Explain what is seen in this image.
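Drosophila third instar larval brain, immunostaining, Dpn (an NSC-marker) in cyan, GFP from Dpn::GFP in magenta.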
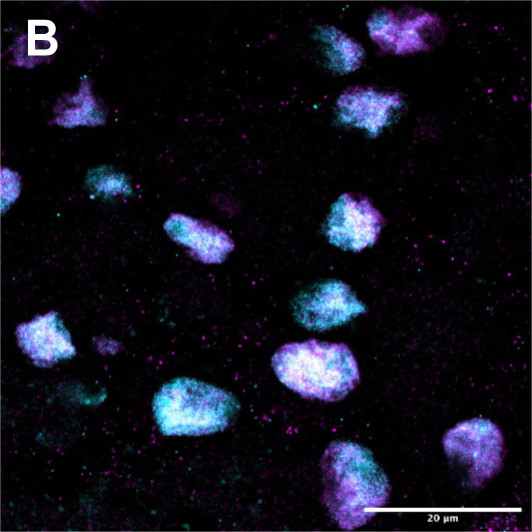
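Scattered across a dark field lie about a dozen rounded to irregularly oval nuclei, some larger and some smaller, spaced well apart from one another. Each carries both the cyan and the magenta colour, so most appear pale lavage to whitish where the two overlap, with some patchy texture within. The signal fills the nuclear outline rather than a thin rim, and there is little colour in the space between them.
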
